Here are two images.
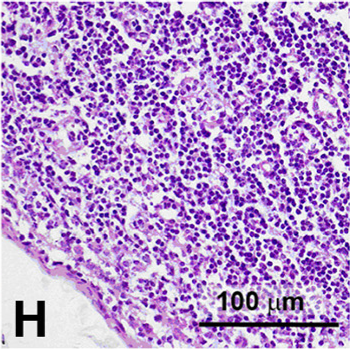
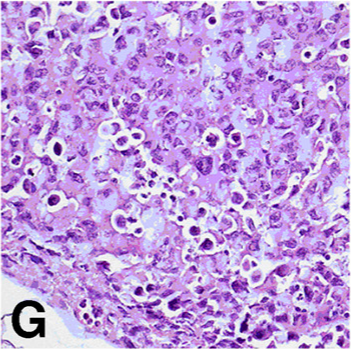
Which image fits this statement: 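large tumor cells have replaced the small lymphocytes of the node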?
The second image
